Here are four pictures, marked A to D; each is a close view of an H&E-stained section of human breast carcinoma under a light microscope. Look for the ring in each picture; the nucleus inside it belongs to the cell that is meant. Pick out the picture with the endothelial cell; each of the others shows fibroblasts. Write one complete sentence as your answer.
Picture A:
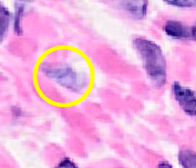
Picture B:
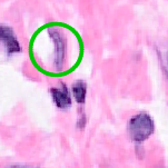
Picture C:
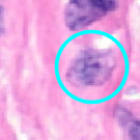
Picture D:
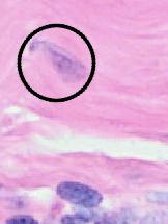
It is picture B that shows the endothelial cell.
